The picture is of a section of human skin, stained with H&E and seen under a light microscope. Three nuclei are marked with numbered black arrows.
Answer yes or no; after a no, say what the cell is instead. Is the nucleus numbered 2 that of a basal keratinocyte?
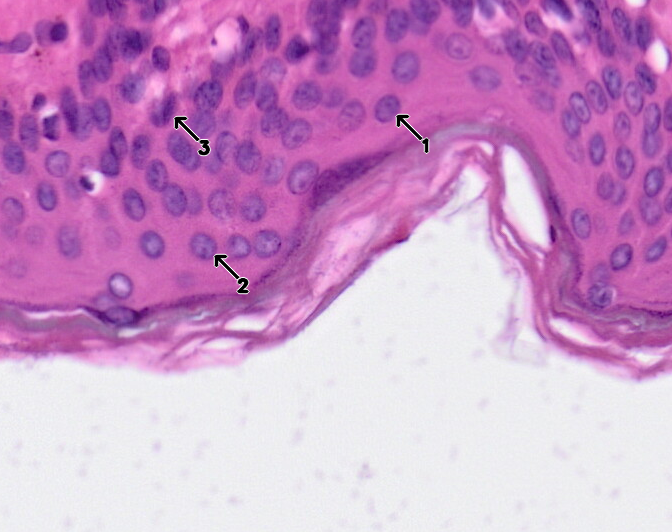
No, it is a suprabasal keratinocyte.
